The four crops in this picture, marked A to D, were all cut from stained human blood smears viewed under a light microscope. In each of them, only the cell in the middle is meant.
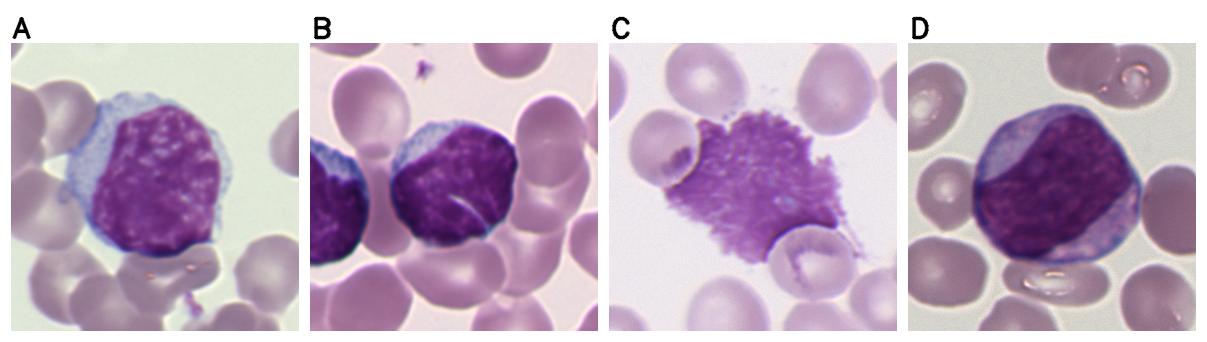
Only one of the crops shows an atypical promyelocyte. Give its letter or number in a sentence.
Crop D alone, of all the crops, shows an atypical promyelocyte.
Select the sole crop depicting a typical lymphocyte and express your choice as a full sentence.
Crop B is the one to choose: it shows a typical lymphocyte.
